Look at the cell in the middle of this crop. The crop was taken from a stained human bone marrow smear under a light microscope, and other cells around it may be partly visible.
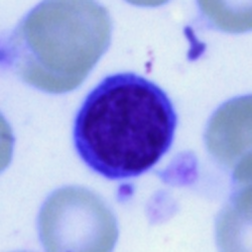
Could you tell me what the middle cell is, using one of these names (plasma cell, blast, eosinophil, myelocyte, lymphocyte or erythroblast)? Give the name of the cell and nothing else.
lymphocyte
